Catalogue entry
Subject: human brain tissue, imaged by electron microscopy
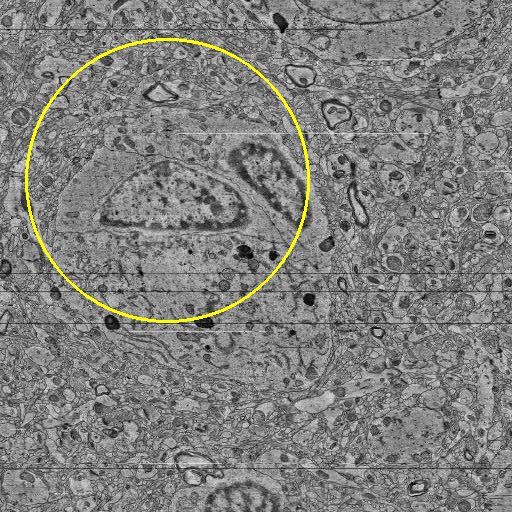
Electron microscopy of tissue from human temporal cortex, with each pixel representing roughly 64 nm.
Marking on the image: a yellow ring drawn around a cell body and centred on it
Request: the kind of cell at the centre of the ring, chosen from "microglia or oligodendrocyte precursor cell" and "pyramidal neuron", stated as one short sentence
The ring has a microglial cell or oligodendrocyte precursor cell at its centre.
